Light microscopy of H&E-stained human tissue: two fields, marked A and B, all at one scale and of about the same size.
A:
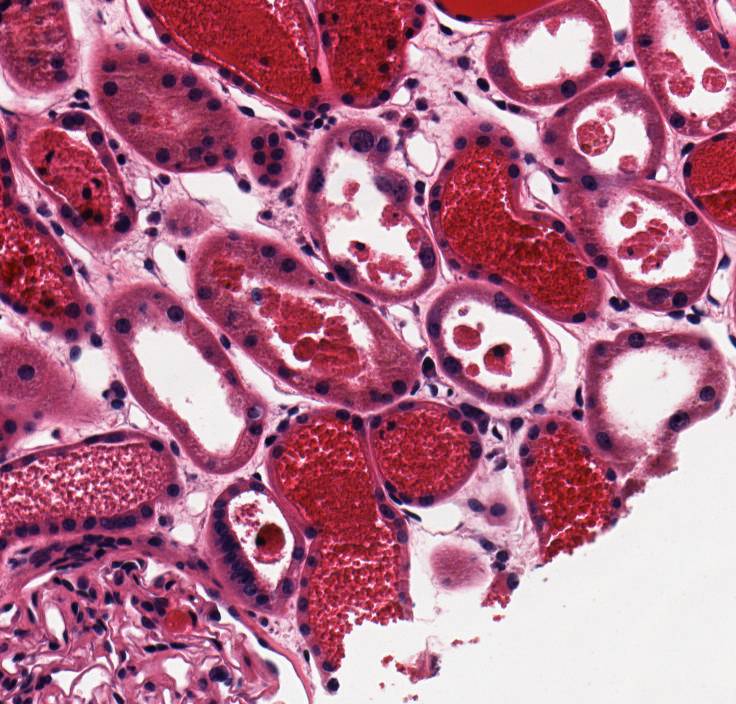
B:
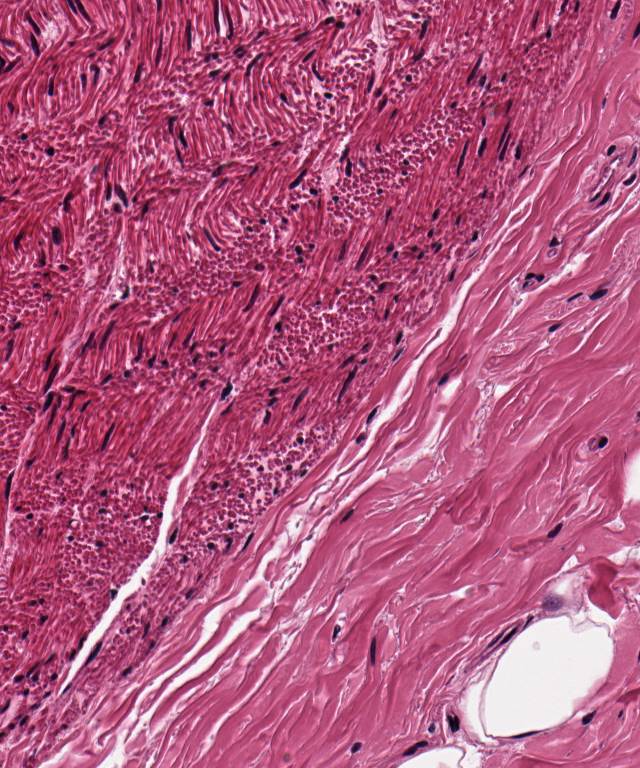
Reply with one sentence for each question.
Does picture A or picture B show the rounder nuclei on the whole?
The nuclei are rounder in picture A.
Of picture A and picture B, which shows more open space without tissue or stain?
More of picture A is empty and white.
